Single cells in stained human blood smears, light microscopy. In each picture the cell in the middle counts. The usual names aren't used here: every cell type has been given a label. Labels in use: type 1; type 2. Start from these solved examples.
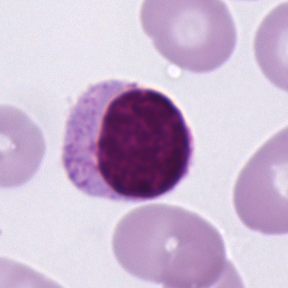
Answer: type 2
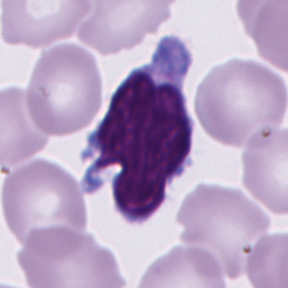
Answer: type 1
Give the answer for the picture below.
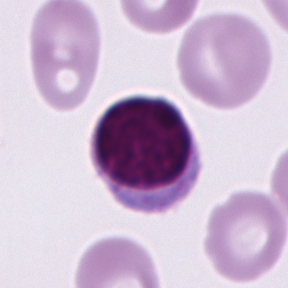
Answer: type 1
